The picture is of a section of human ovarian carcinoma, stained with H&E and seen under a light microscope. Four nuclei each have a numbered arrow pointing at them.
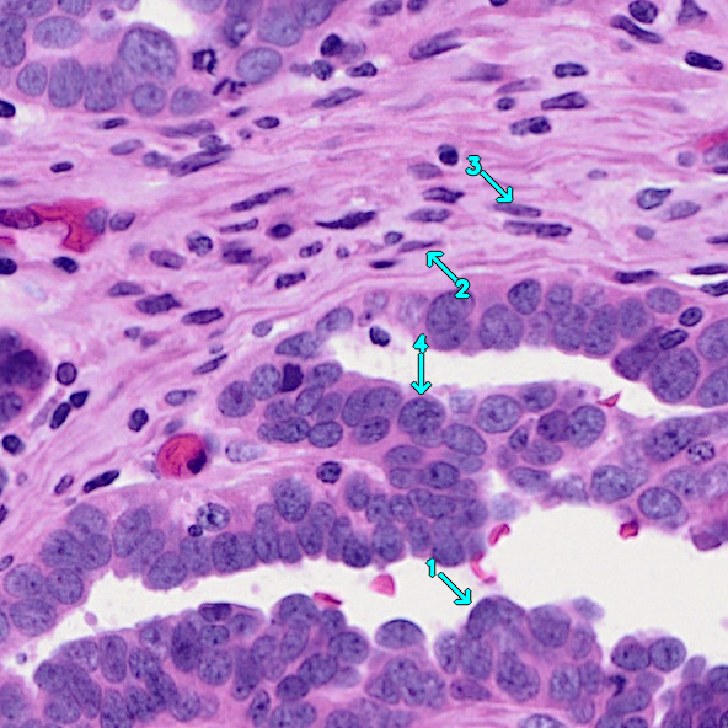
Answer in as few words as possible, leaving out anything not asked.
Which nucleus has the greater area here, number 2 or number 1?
1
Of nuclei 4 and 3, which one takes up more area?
4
